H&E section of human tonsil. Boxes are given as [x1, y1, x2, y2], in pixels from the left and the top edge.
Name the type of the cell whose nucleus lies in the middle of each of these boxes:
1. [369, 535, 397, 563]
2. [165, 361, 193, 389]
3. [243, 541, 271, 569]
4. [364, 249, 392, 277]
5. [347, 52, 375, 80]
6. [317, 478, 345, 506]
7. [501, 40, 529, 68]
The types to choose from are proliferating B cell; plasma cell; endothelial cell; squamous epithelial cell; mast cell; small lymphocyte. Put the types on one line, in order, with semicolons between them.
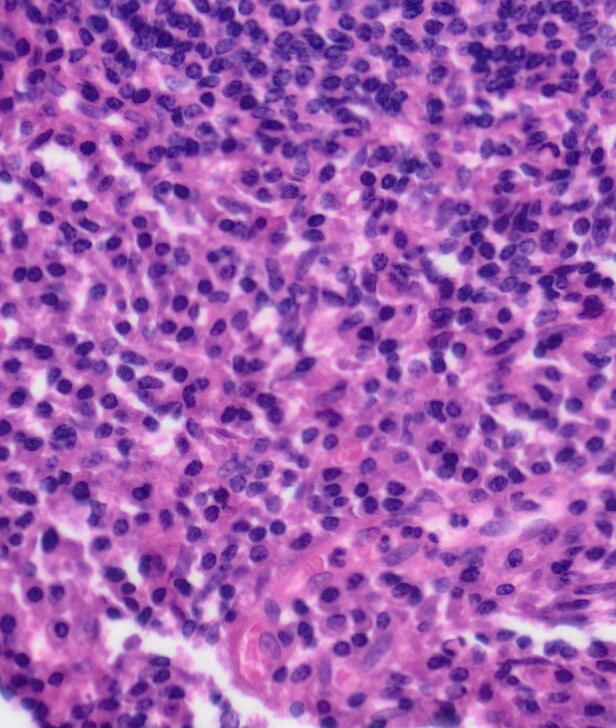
endothelial cell; plasma cell; plasma cell; plasma cell; small lymphocyte; plasma cell; small lymphocyte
